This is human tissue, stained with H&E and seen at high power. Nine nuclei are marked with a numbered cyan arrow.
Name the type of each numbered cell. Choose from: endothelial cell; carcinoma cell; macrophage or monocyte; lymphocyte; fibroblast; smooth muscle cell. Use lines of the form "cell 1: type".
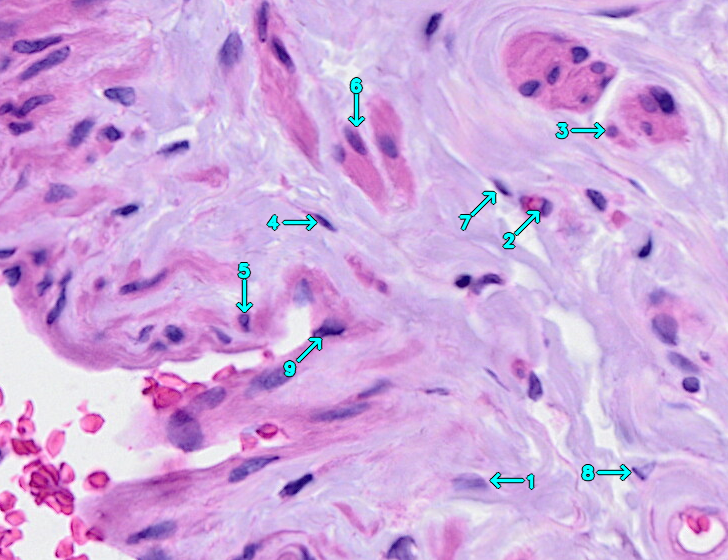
cell 1: fibroblast
cell 2: endothelial cell
cell 3: smooth muscle cell
cell 4: fibroblast
cell 5: smooth muscle cell
cell 6: smooth muscle cell
cell 7: fibroblast
cell 8: fibroblast
cell 9: endothelial cell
